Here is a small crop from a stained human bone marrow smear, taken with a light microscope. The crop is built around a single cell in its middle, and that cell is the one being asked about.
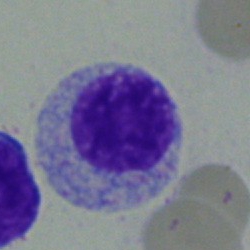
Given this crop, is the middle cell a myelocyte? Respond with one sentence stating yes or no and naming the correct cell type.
Yes, the cell found in the center of the crop is a myelocyte.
